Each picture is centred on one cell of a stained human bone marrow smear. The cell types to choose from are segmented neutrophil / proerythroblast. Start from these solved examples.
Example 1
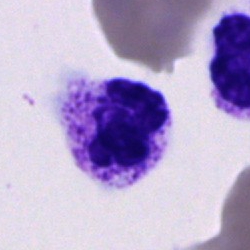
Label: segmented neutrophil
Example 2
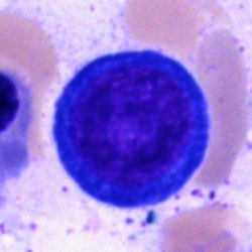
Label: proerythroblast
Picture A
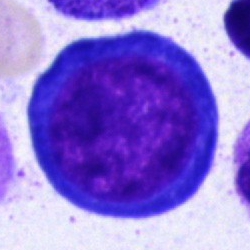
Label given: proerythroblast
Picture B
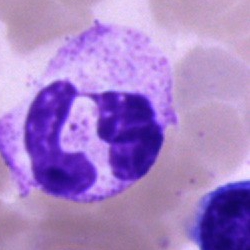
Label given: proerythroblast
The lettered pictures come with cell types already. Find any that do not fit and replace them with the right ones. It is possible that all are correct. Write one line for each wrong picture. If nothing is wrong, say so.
B: not proerythroblast but segmented neutrophil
